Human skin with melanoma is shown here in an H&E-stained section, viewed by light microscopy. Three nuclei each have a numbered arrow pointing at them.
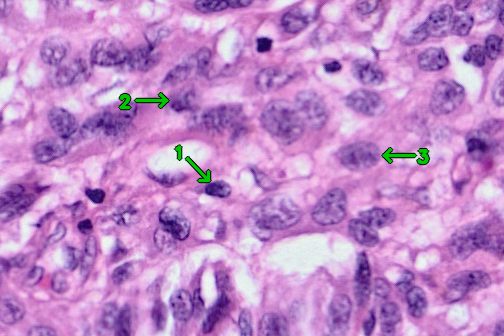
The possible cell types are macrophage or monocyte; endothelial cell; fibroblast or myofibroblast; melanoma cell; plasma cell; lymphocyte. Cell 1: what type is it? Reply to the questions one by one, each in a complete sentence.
The correct answer for cell 1 is a lymphocyte.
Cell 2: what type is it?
Number 2 among the marked cells is a melanoma cell.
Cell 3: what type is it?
What the number 3 marks in this field is a melanoma cell.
